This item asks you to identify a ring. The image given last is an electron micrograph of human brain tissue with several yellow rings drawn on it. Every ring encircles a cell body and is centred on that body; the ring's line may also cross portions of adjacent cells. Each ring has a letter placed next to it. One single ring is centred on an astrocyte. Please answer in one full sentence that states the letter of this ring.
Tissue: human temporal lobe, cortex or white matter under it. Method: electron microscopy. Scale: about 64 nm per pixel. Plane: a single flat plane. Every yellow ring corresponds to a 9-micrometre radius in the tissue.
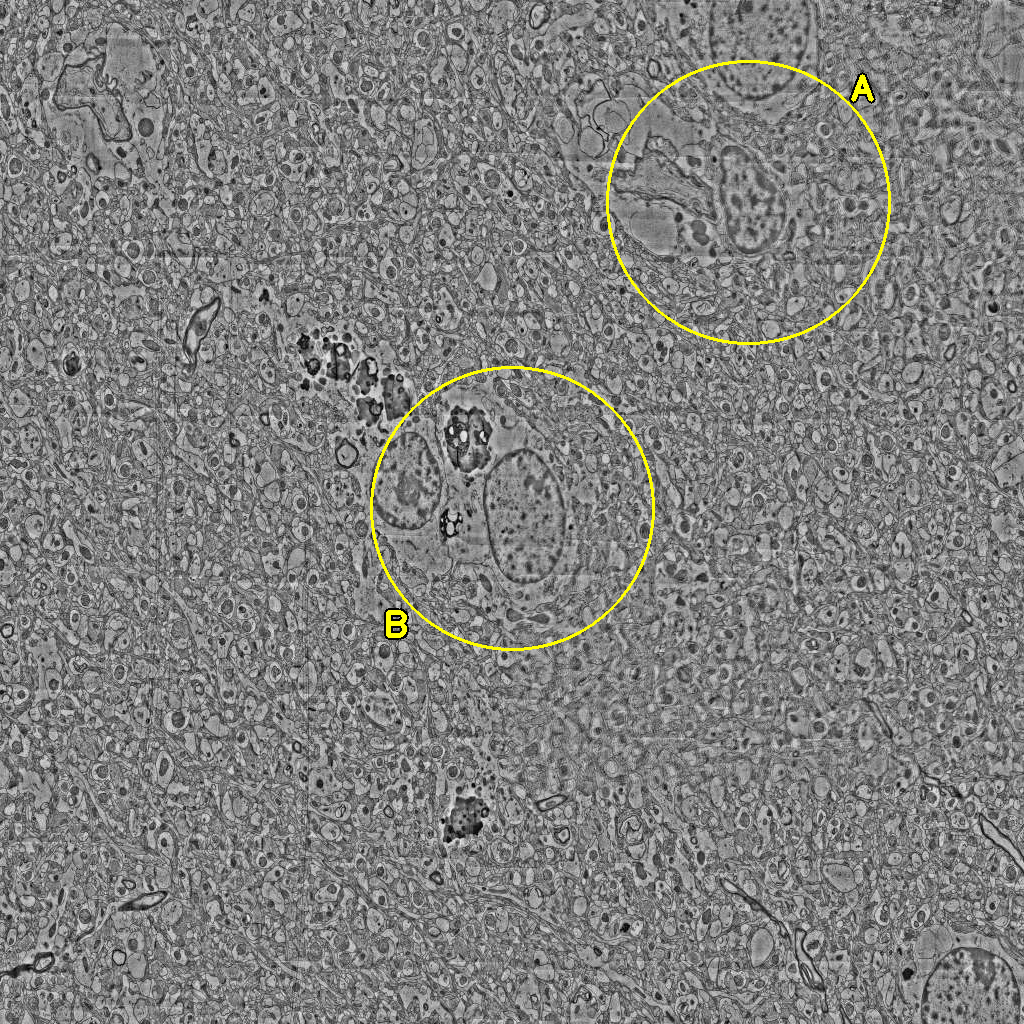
My answer is letter B, the ring centred on the cell asked for.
